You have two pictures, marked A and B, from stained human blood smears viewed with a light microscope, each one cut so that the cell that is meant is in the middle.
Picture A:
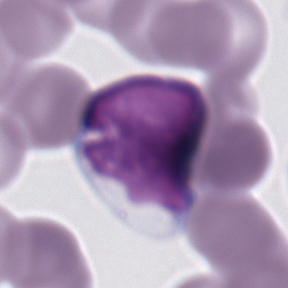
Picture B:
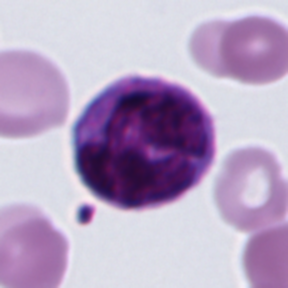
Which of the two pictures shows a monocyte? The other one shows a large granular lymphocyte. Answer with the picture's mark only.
B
